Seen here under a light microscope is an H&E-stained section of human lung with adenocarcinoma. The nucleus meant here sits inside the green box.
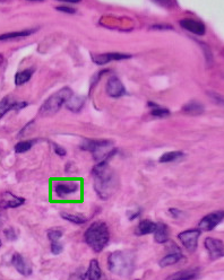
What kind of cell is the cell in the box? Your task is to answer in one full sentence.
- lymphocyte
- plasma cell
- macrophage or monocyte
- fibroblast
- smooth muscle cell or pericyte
For the purposes of cell typing, the cell in the box is categorized as a plasma cell.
